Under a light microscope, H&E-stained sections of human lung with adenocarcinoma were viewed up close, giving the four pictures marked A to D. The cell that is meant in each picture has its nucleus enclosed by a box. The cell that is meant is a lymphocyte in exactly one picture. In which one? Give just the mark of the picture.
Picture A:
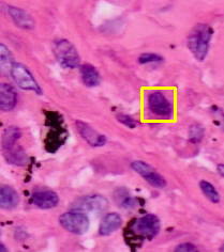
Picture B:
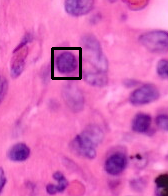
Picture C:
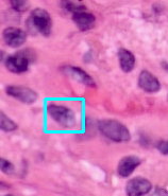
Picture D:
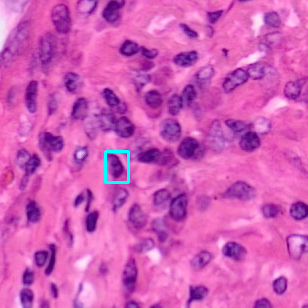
C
